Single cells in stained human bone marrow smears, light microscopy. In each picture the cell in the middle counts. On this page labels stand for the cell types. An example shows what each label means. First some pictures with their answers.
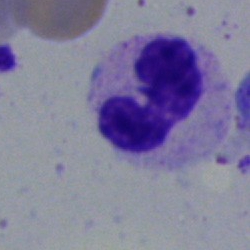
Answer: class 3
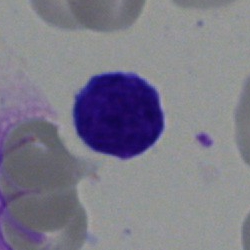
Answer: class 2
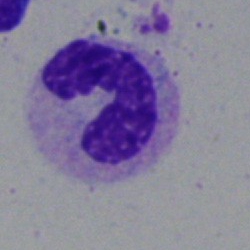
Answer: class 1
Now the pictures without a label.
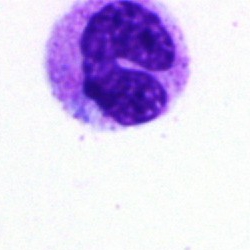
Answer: class 1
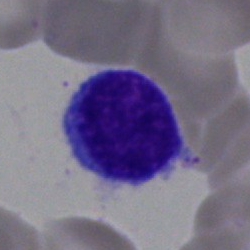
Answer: class 2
